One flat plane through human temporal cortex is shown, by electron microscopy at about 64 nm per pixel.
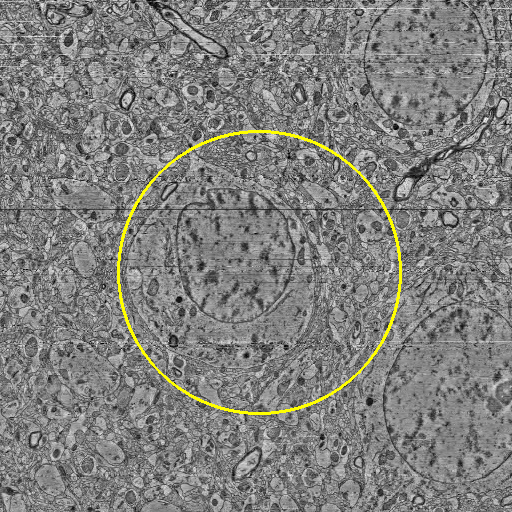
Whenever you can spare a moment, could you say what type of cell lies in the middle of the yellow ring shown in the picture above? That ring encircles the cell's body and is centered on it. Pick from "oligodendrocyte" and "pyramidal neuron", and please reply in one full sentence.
The cell whose body sits at the middle of the yellow ring is a pyramidal neuron.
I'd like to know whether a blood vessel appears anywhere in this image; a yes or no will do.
No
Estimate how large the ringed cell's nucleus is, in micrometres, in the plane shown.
About 9 by 8 micrometres in this plane.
